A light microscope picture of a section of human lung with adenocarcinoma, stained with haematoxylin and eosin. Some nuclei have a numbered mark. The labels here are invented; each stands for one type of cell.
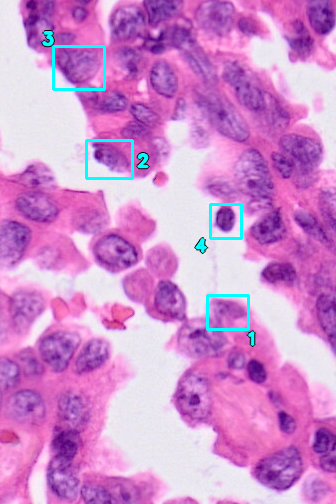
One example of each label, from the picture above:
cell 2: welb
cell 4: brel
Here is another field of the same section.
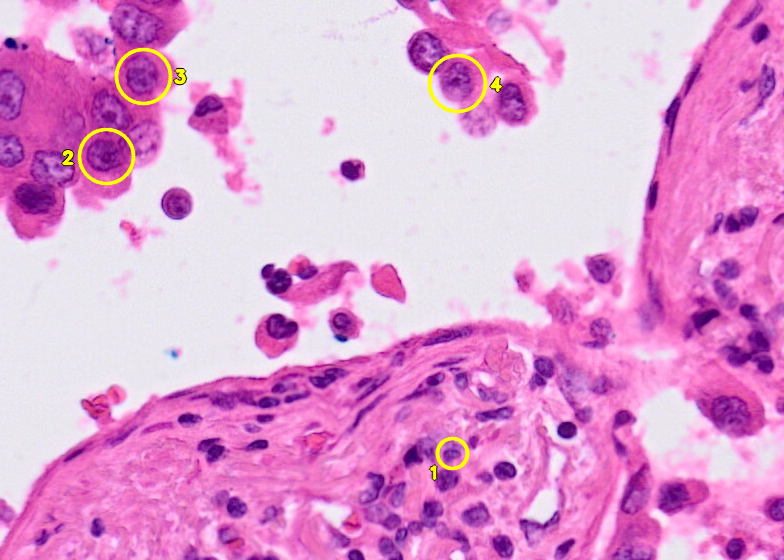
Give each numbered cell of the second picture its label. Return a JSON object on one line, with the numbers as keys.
{"1": "brel", "2": "welb", "3": "welb", "4": "welb"}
